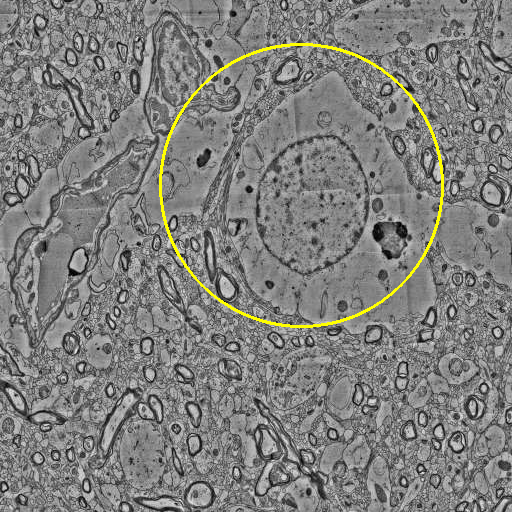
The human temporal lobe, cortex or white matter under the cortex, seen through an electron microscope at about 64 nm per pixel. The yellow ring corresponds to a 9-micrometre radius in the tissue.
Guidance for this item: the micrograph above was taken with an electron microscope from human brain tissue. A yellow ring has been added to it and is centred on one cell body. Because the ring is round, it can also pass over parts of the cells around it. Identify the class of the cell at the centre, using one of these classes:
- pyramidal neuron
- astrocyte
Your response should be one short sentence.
The ring surrounds the body of an astrocyte.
